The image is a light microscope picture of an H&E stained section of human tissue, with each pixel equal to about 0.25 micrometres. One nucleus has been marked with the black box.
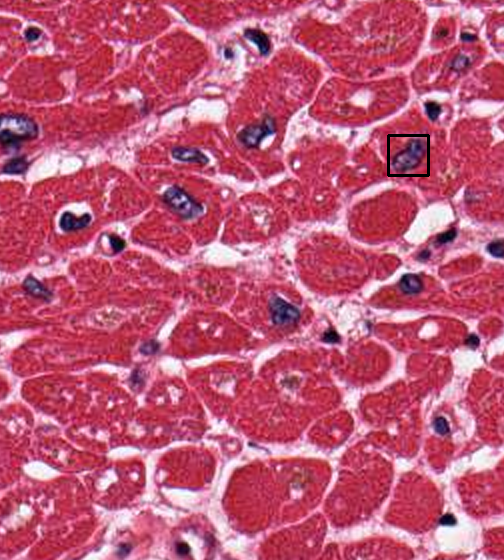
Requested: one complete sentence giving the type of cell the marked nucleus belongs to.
The marked nucleus is a nucleus of a cardiomyocyte.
